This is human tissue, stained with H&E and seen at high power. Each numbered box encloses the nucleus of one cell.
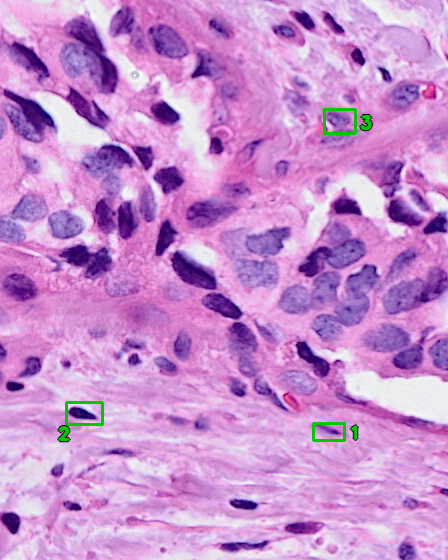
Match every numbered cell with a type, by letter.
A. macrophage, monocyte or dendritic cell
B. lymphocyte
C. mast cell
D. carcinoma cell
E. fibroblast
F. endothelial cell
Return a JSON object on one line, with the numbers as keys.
{"1": "E", "2": "B", "3": "F"}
